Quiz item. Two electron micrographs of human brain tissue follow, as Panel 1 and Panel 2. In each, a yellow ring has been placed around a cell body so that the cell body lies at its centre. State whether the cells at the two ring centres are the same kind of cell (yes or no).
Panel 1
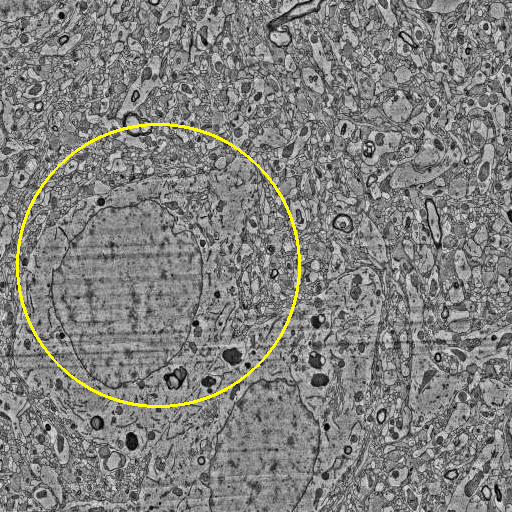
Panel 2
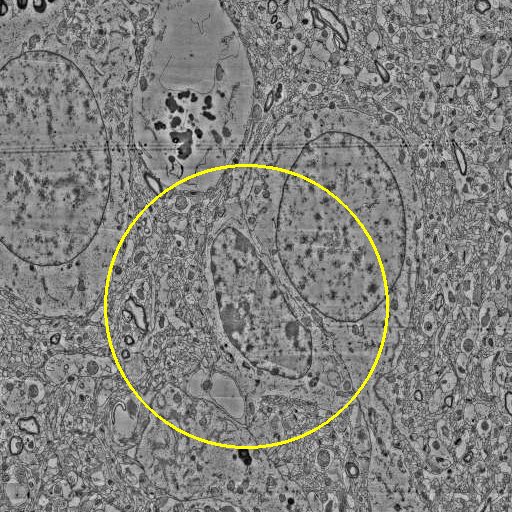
no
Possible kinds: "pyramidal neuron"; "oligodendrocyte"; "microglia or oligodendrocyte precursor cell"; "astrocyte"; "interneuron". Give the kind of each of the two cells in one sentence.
The cell in the second picture is a microglial cell or oligodendrocyte precursor cell, and that in the first is a pyramidal neuron.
